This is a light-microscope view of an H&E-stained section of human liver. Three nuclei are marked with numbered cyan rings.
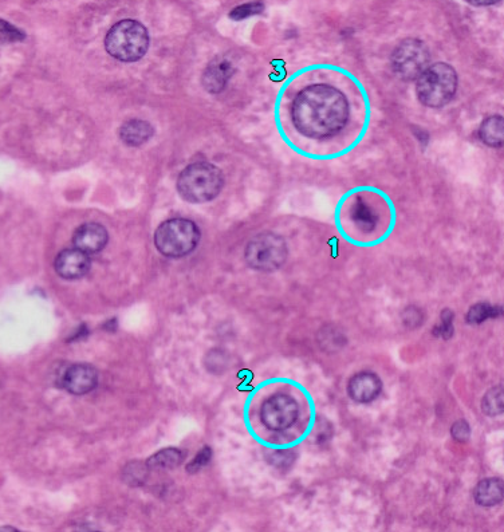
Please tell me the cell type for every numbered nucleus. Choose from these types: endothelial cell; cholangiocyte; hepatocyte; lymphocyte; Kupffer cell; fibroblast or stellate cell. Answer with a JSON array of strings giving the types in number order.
["endothelial cell", "hepatocyte", "hepatocyte"]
